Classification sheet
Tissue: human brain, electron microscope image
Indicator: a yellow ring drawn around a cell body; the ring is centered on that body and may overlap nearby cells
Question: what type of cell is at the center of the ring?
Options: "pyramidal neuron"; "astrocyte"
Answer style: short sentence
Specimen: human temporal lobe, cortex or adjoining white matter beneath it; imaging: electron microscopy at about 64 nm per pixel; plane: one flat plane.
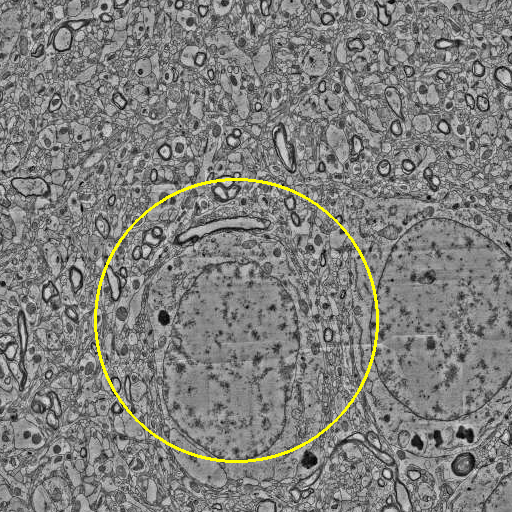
At the ring's center is a pyramidal neuron.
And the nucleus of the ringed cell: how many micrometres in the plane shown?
The nucleus is approximately 13 micrometers long by 10 micrometers wide in this plane.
